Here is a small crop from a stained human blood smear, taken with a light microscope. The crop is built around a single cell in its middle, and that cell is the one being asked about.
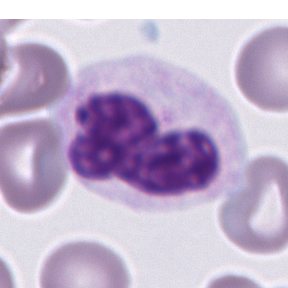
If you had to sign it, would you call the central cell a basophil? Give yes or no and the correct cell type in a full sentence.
No, the cell at the centre is identified as a segmented neutrophil, not as a basophil.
